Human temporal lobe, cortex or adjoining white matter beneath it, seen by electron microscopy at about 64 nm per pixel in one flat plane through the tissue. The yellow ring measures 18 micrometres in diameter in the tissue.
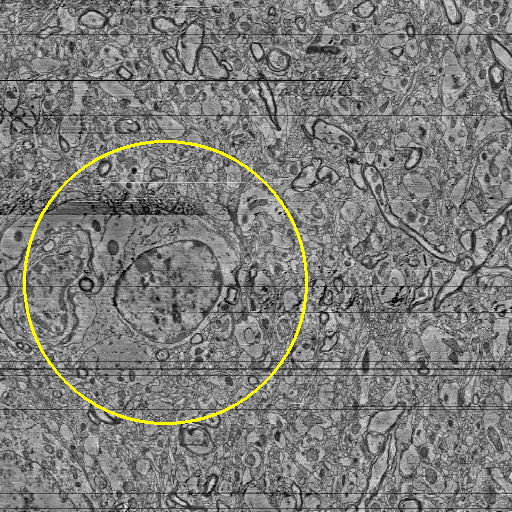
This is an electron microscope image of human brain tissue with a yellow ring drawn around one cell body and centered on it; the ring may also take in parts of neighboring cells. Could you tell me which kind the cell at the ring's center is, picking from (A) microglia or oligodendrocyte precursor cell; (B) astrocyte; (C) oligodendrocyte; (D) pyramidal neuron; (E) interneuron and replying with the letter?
A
